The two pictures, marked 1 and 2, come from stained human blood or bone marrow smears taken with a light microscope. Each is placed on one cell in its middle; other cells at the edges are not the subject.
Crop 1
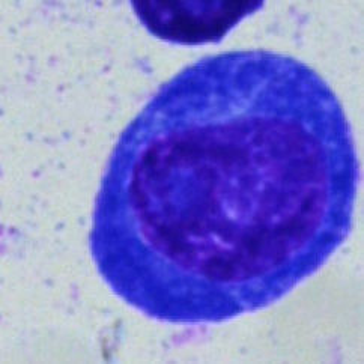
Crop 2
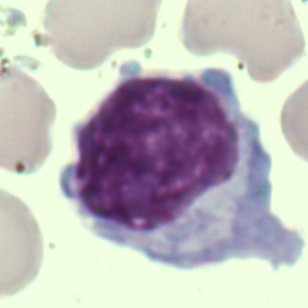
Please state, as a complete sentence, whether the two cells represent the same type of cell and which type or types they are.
Yes, as for both crops, the cells shown are plasma cells.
